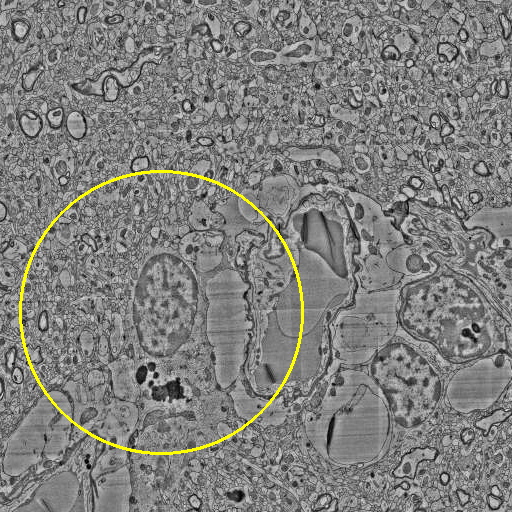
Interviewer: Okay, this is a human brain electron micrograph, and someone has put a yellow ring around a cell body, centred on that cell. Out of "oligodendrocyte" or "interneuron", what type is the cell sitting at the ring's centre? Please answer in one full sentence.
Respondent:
The cell at the centre of the yellow ring in this picture is an oligodendrocyte.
